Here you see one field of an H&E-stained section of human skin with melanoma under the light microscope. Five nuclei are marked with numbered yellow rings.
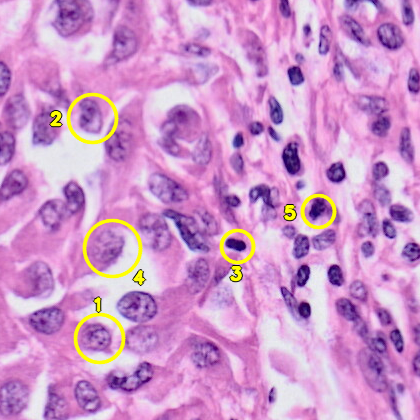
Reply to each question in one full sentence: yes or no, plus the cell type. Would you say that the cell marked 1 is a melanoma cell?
Yes, for number 1, the cell is a melanoma cell.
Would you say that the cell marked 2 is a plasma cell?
No, with respect, cell 2 is a melanoma cell rather than a plasma cell.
